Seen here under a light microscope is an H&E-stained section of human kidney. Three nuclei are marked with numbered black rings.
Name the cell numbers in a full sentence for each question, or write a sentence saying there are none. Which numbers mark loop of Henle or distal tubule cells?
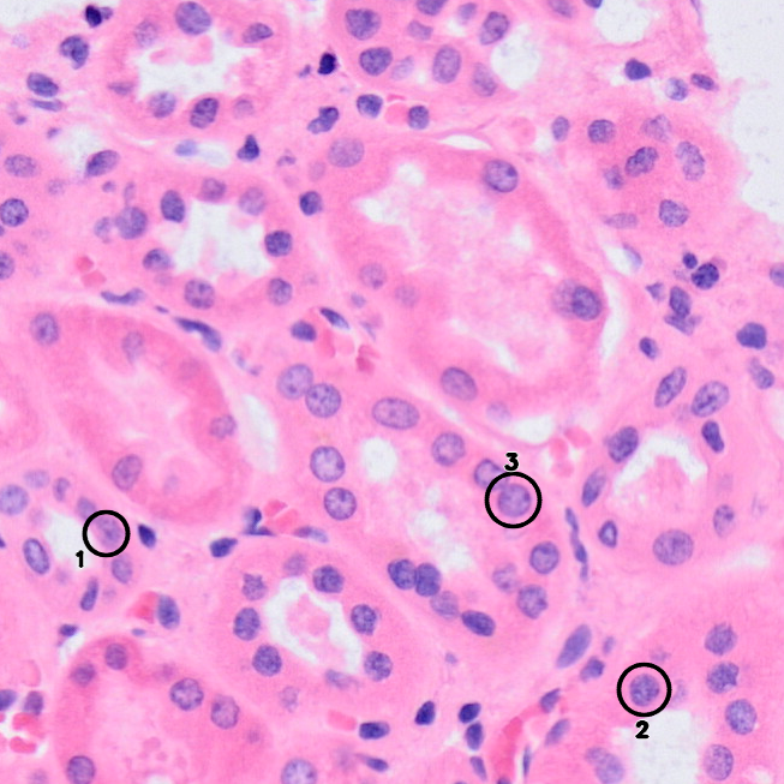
Only one choice fits: cell 2 is a loop of Henle or distal tubule cell, and no other.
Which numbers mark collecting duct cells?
It is cell 1, and no other numbered cell, that is a collecting duct cell.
